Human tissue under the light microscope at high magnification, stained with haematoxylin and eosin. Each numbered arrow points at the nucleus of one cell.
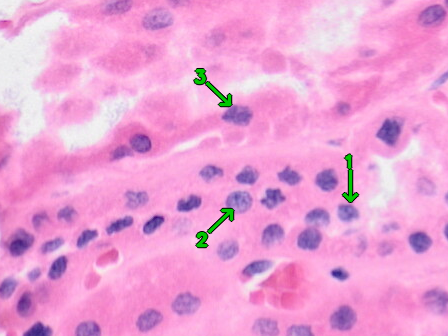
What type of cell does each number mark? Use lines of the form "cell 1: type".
cell 1: loop of Henle or distal tubule cell
cell 2: loop of Henle or distal tubule cell
cell 3: proximal tubule cell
